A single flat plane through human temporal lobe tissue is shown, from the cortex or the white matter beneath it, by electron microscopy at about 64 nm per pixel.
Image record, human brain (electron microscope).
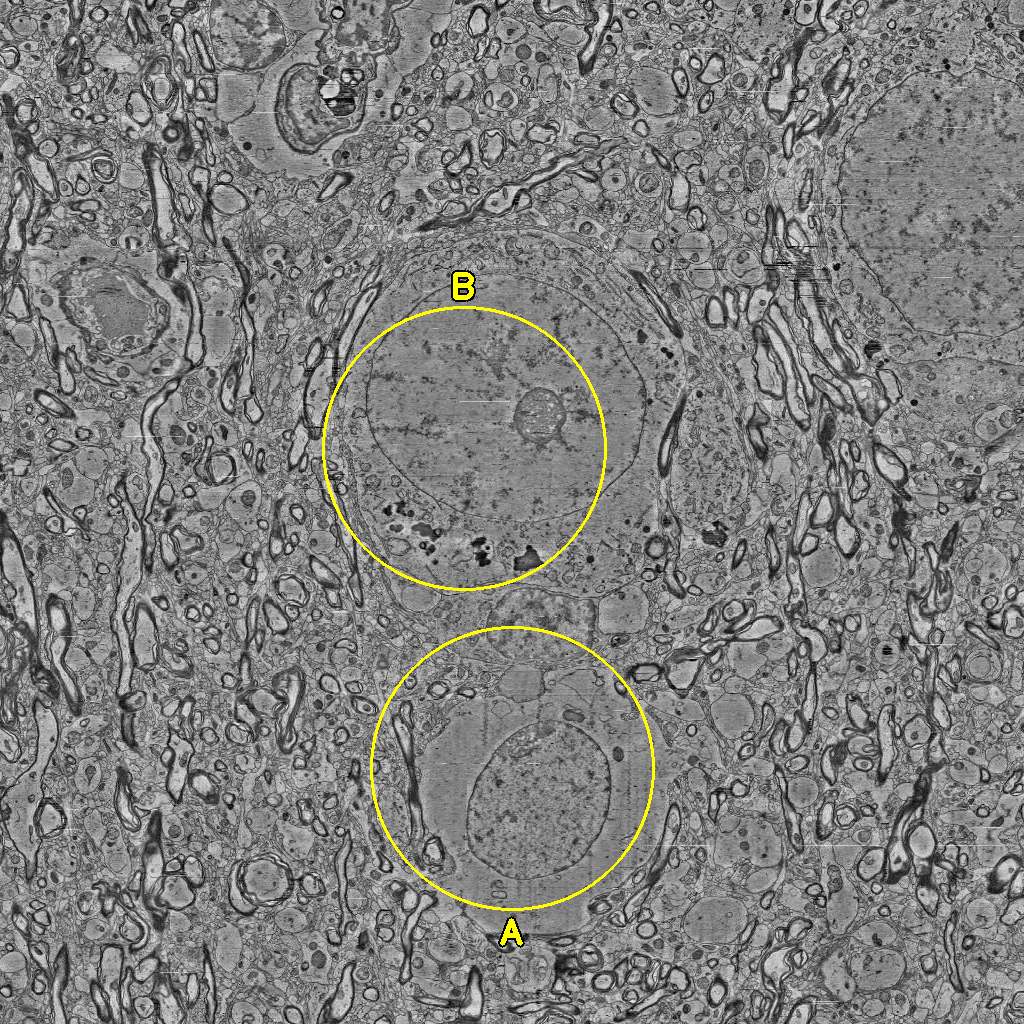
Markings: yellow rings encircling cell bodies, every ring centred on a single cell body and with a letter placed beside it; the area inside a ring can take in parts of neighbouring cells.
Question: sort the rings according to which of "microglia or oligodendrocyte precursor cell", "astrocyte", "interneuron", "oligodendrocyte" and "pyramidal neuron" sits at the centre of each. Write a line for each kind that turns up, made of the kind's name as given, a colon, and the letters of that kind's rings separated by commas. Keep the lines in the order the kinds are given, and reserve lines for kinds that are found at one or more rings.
astrocyte: A
pyramidal neuron: B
